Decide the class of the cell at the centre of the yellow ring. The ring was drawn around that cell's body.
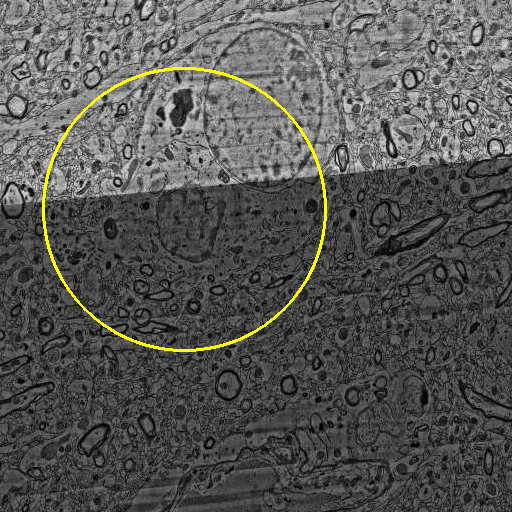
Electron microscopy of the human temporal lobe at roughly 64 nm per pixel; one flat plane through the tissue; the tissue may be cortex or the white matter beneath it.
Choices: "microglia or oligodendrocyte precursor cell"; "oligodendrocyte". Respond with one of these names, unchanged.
microglia or oligodendrocyte precursor cell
